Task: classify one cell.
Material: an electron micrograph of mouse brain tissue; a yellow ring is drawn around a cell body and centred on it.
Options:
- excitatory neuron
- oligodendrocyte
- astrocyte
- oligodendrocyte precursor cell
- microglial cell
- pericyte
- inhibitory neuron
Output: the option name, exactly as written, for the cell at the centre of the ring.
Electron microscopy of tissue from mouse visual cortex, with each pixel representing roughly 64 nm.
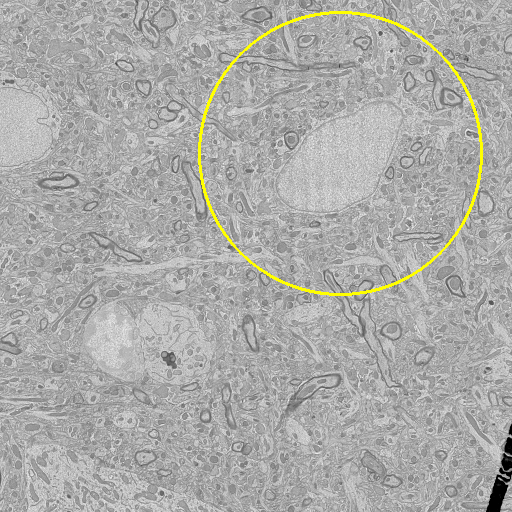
astrocyte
